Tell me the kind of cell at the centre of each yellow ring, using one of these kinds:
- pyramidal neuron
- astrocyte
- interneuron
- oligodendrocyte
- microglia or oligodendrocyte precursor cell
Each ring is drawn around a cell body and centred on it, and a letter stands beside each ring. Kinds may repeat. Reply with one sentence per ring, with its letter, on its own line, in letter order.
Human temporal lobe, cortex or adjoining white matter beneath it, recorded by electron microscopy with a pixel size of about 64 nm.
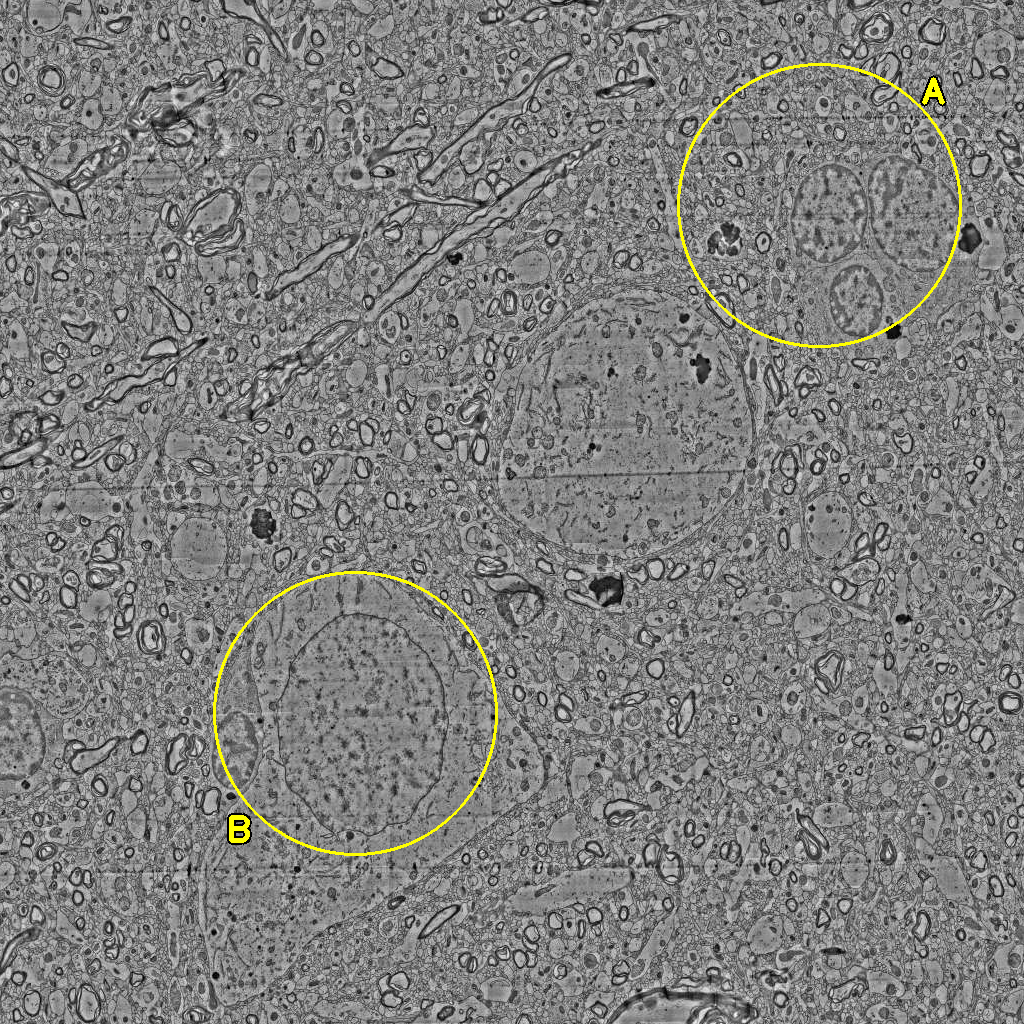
The ring labelled A is centred on an oligodendrocyte.
The ring labelled B is centred on a pyramidal neuron.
